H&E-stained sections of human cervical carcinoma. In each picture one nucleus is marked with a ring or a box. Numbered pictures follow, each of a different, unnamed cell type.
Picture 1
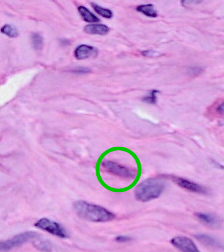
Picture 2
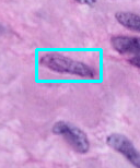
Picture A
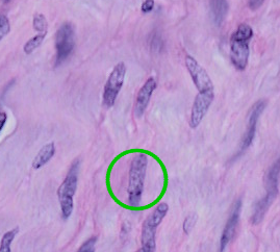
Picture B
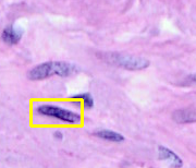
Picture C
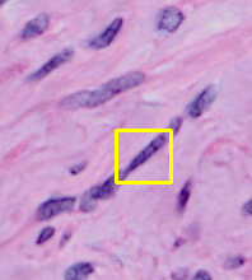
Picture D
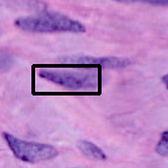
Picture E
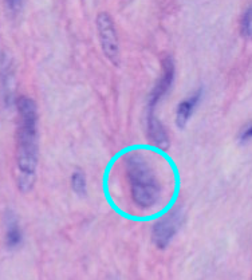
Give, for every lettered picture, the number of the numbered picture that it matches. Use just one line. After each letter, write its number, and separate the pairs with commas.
A 1, B 2, C 2, D 2, E 1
